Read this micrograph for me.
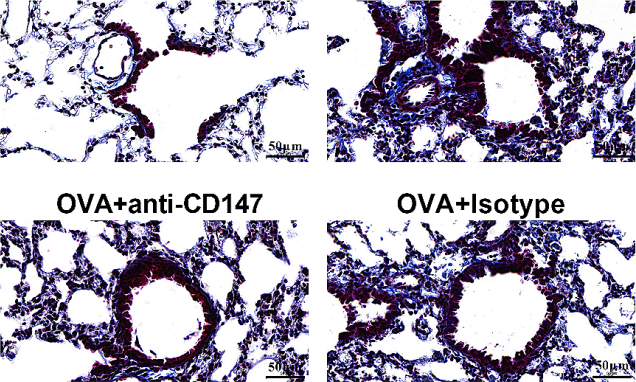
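In three of the images, blue fibrous tissue and densely packed dark nuclei surround the airways and thicken the peribronchial wall. In the upper left image, the alveolar walls and the airway wall are thin, with little blue material.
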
